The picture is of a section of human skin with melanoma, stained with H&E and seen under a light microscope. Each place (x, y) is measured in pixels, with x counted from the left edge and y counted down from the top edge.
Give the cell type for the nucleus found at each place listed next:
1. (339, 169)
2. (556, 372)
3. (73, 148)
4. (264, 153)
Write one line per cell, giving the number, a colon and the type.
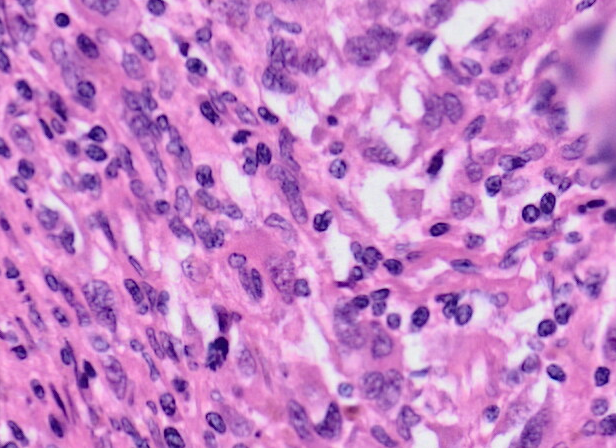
1: lymphocyte
2: lymphocyte
3: plasma cell
4: lymphocyte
